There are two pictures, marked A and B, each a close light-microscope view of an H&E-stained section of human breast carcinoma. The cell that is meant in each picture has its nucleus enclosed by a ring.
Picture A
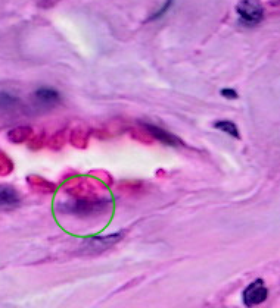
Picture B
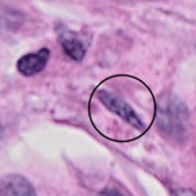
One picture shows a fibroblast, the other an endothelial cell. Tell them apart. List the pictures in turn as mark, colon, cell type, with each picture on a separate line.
A: endothelial cell
B: fibroblast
